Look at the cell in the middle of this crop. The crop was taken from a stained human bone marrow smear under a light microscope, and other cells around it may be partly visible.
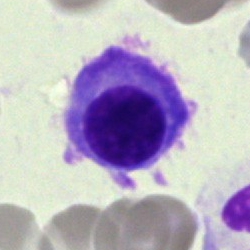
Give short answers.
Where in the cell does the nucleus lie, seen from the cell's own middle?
bottom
